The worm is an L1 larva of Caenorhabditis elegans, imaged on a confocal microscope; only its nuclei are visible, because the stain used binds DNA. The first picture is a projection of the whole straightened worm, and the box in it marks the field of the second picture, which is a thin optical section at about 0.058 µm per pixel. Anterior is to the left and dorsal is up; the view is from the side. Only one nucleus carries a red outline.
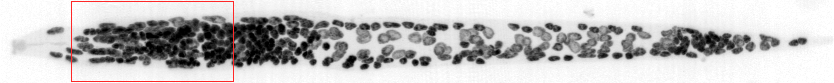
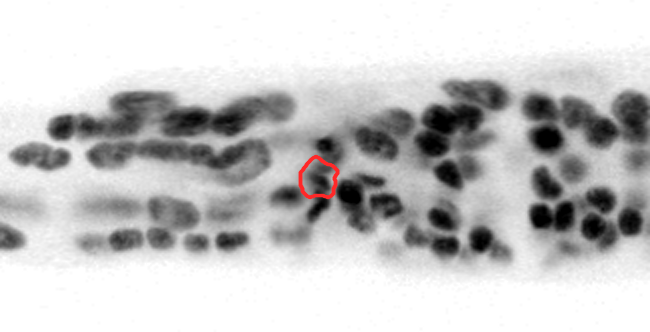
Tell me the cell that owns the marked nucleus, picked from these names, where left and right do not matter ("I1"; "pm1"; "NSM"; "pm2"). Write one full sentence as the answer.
The marked cell is pm1, a pharyngeal muscle cell.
